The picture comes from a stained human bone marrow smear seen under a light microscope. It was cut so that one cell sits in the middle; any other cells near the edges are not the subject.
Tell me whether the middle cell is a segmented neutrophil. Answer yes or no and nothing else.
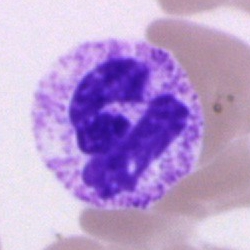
yes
